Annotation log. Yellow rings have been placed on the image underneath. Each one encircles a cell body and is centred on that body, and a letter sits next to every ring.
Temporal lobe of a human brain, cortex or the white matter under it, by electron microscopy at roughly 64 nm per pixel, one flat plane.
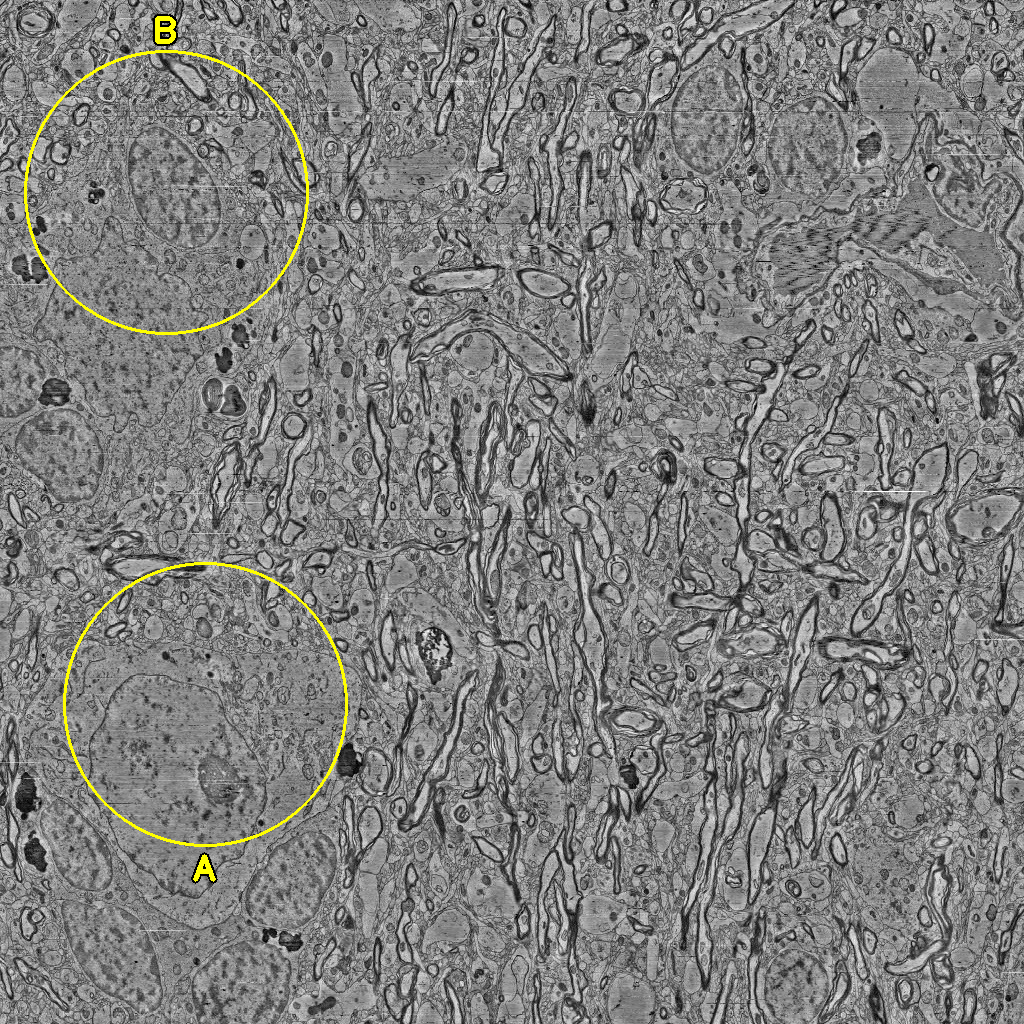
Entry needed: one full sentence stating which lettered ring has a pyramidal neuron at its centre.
The cell asked for sits at the centre of Ring A in the picture.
